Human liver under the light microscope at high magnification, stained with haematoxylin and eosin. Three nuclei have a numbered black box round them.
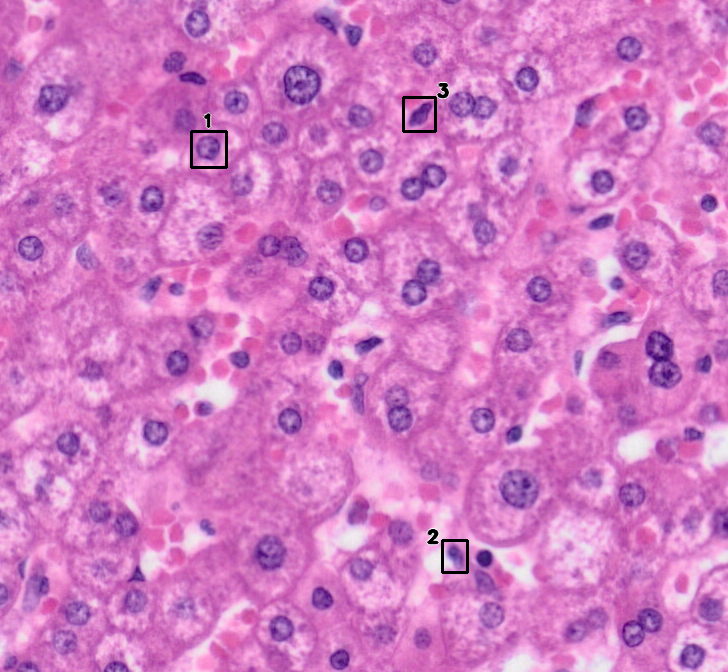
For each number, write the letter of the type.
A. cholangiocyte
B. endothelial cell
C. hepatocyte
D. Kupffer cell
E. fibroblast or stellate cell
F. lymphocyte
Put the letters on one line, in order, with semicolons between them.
C; F; B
